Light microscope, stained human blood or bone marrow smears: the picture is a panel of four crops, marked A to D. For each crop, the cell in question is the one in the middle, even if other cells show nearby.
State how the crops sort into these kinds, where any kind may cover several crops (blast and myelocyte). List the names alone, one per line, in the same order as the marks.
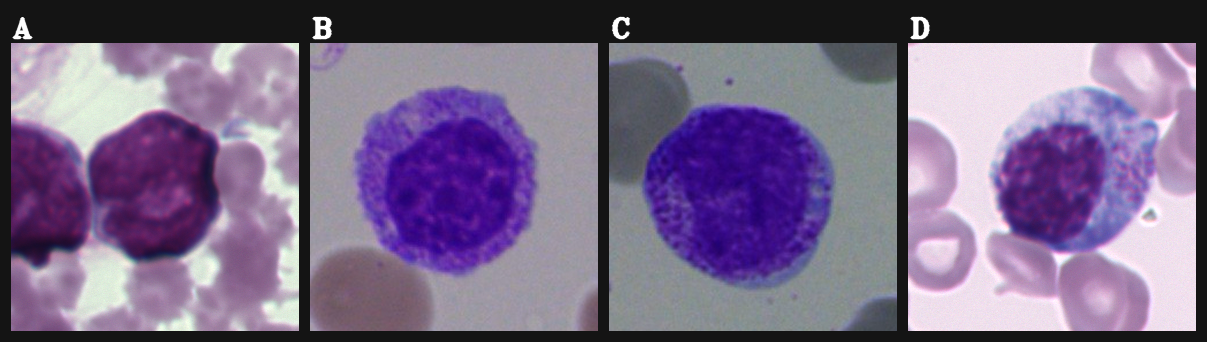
blast
myelocyte
myelocyte
myelocyte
